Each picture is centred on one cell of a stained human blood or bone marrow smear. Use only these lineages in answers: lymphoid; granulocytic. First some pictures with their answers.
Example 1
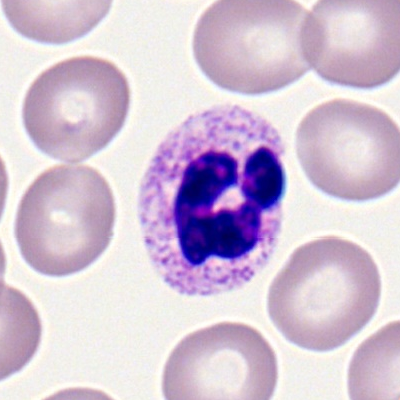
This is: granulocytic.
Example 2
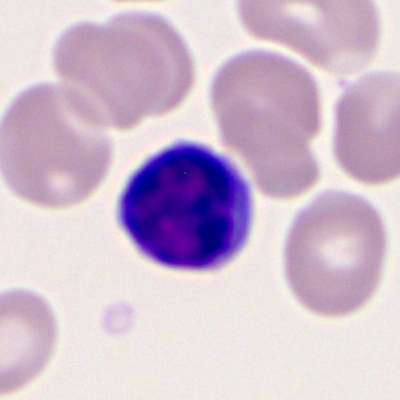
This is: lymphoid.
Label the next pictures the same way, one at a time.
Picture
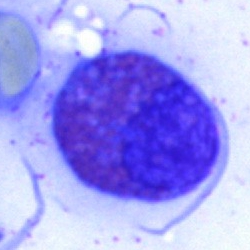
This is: granulocytic.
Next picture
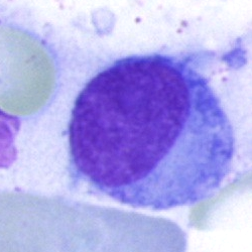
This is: lymphoid.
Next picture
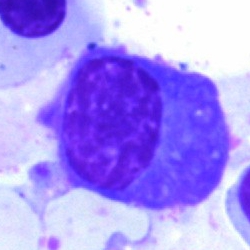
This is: lymphoid.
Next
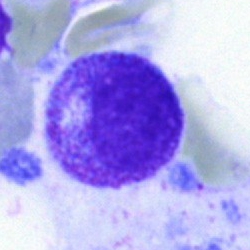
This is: granulocytic.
